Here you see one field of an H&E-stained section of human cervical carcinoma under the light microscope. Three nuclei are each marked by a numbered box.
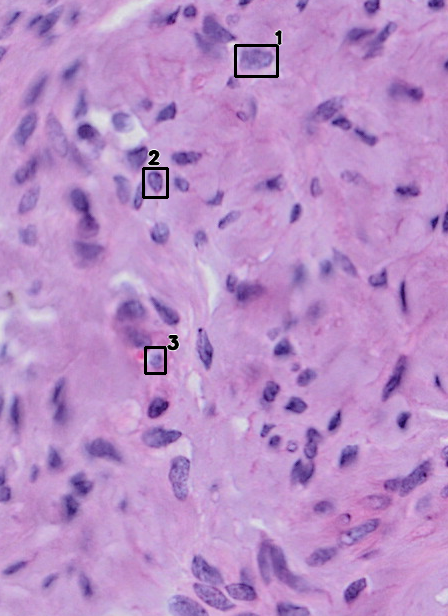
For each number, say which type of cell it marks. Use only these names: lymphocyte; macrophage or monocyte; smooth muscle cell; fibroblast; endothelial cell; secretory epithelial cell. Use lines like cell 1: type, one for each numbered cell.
cell 1: fibroblast
cell 2: fibroblast
cell 3: endothelial cell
